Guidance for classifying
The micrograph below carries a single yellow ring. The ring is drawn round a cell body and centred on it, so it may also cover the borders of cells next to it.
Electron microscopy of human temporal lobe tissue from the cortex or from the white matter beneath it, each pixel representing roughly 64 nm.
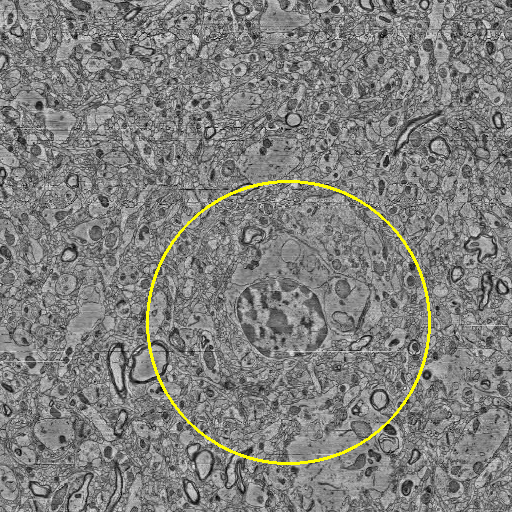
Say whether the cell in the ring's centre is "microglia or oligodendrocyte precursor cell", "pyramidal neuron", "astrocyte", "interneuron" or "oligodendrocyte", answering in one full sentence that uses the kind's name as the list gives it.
Within the yellow ring, a microglial cell or oligodendrocyte precursor cell is the cell whose body sits at the centre.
